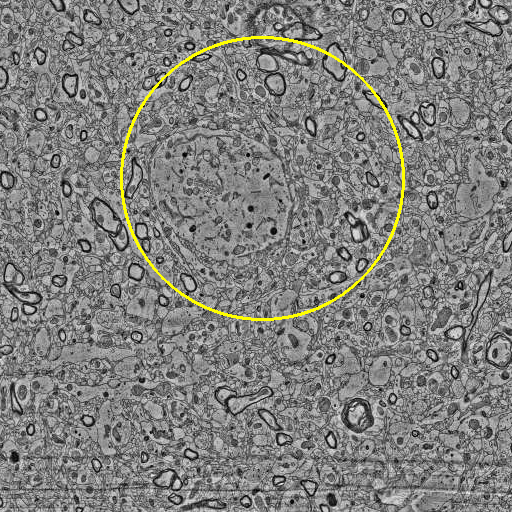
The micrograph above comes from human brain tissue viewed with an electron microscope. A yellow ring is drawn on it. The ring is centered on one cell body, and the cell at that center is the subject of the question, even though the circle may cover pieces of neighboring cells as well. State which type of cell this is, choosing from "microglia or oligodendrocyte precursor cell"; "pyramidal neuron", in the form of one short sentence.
The cell the ring is centered on is a pyramidal neuron.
